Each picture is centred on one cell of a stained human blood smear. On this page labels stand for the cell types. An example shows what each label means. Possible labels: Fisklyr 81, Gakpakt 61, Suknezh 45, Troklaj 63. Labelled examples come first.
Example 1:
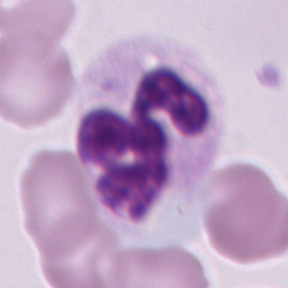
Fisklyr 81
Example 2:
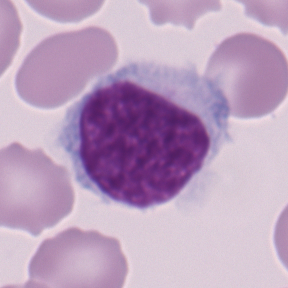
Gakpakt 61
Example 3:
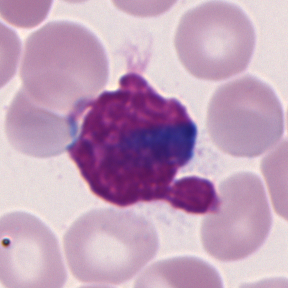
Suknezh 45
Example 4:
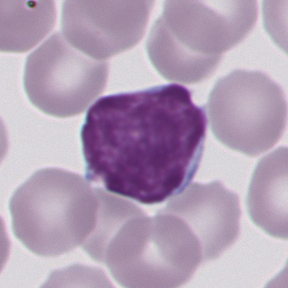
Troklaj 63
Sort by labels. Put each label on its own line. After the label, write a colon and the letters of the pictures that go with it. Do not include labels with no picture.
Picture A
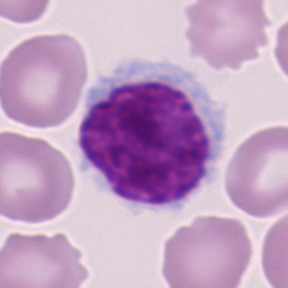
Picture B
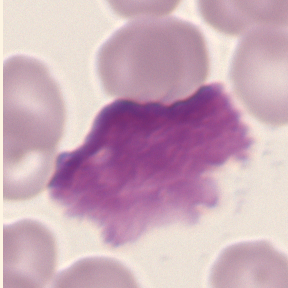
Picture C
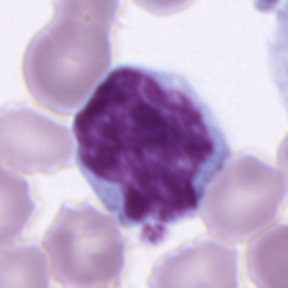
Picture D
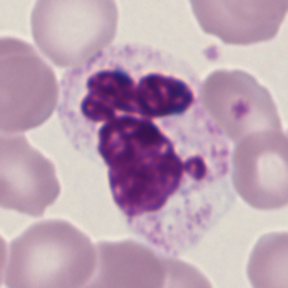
Fisklyr 81: D
Gakpakt 61: A
Suknezh 45: B
Troklaj 63: C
